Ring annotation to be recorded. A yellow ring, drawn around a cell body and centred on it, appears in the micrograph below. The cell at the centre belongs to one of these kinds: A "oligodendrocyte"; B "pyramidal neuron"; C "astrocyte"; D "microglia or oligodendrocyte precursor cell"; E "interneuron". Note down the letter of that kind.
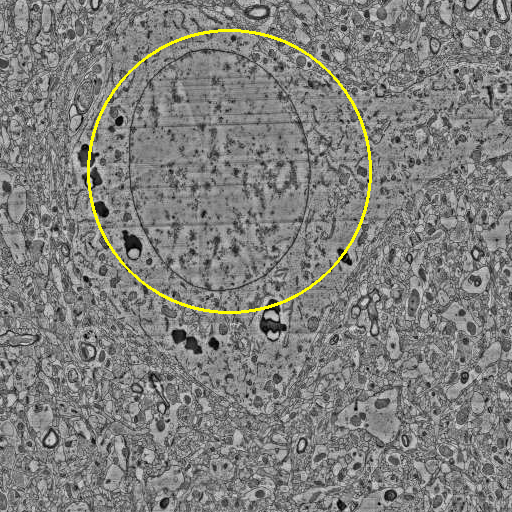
B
